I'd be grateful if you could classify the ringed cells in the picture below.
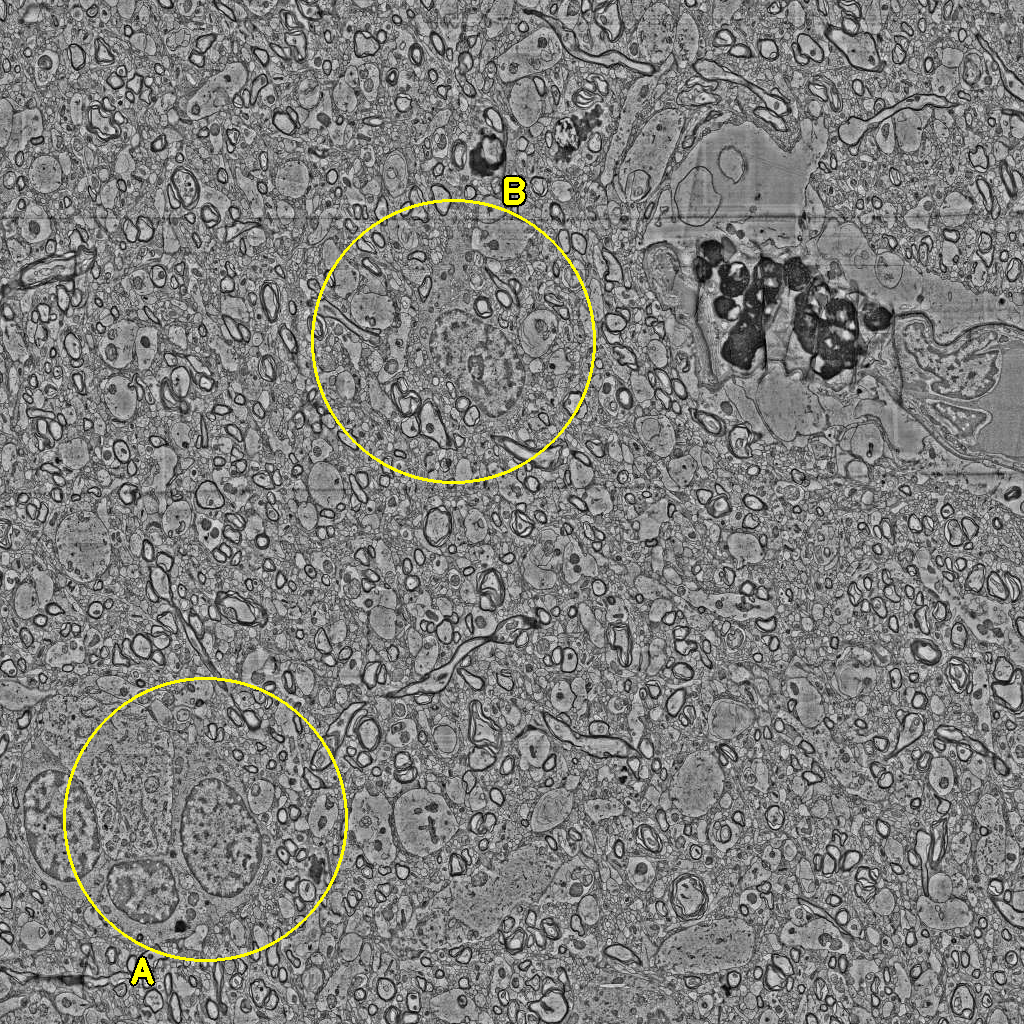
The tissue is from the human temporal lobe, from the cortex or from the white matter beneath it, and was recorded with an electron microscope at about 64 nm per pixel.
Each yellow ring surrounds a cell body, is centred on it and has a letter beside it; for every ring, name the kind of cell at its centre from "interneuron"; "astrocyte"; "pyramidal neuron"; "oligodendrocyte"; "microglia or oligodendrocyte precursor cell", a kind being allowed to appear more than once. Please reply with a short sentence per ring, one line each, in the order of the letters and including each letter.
In ring A we have an oligodendrocyte.
In ring B we have an oligodendrocyte.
